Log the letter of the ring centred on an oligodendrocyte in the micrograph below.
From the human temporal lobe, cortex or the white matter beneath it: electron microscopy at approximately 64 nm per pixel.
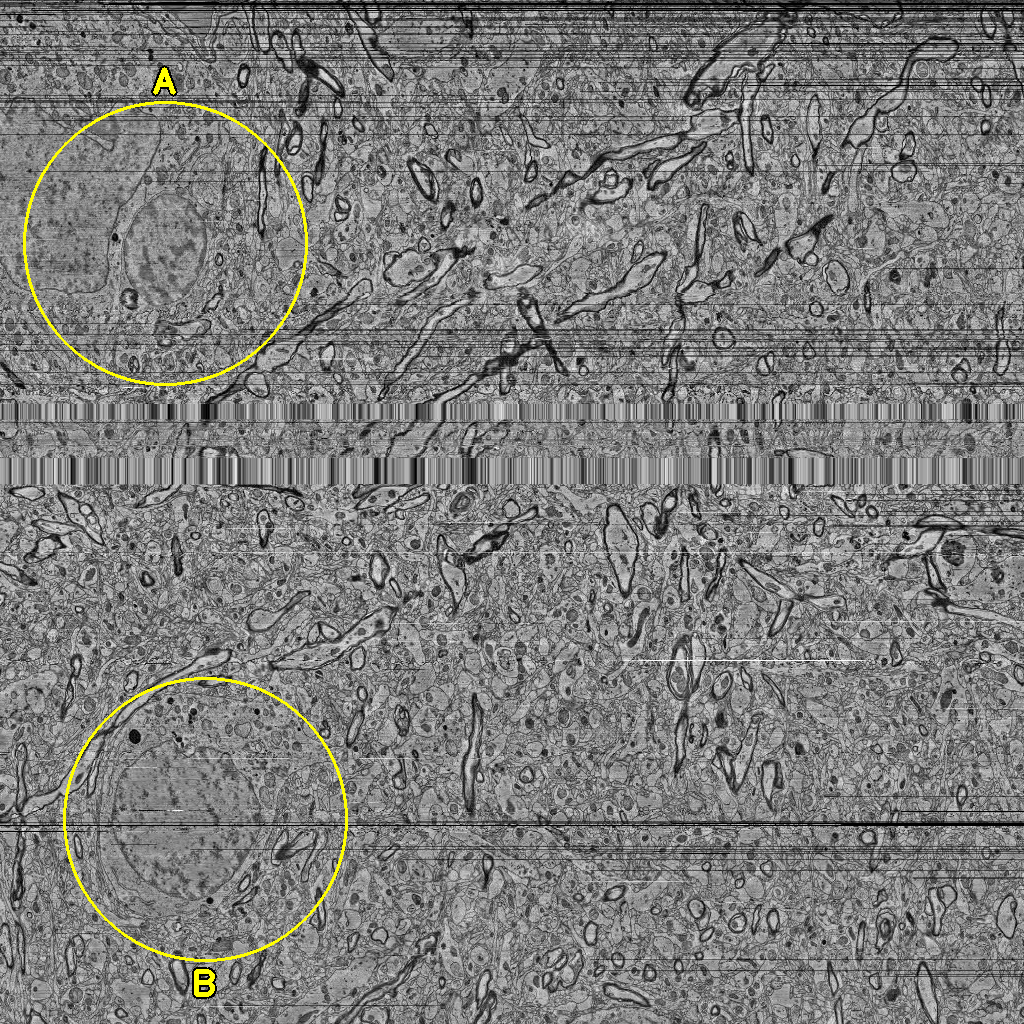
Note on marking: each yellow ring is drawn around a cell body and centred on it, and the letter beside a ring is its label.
A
